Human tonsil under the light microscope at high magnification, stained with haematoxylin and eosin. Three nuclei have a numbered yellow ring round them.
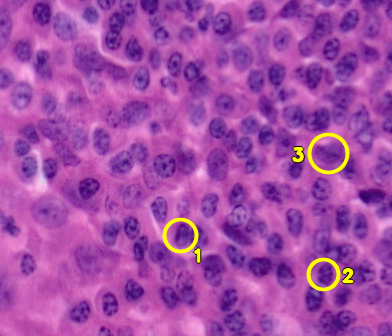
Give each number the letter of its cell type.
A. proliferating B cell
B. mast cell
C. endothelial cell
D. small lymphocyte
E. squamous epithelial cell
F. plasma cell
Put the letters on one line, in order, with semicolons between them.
F; F; E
